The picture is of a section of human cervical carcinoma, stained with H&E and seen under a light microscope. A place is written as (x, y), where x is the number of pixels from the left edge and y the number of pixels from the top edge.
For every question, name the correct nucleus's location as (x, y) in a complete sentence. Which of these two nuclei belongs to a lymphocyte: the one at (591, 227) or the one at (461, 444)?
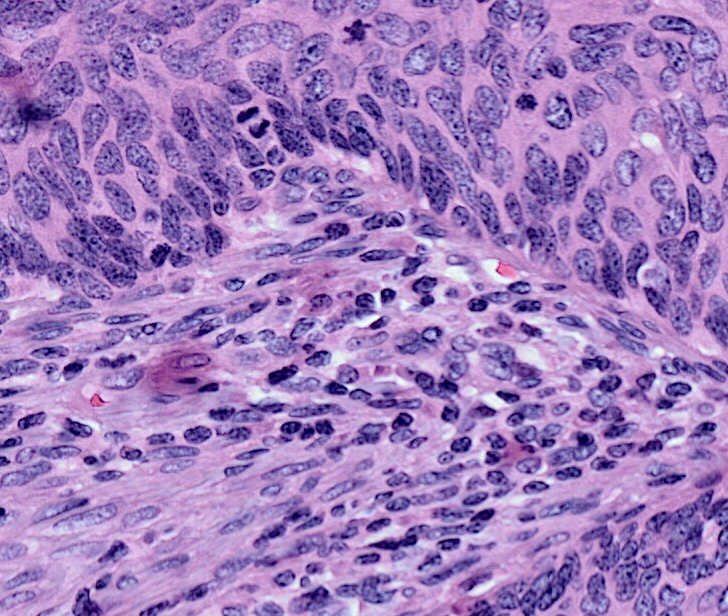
At (461, 444) lies the nucleus that belongs to a lymphocyte.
